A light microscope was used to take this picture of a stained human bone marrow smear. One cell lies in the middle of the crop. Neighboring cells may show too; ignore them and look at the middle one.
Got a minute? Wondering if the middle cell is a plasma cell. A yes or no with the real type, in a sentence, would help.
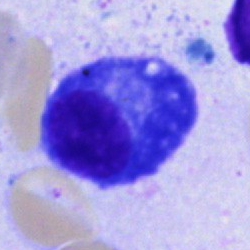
Yes, the cell in the middle is recognised as a plasma cell.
